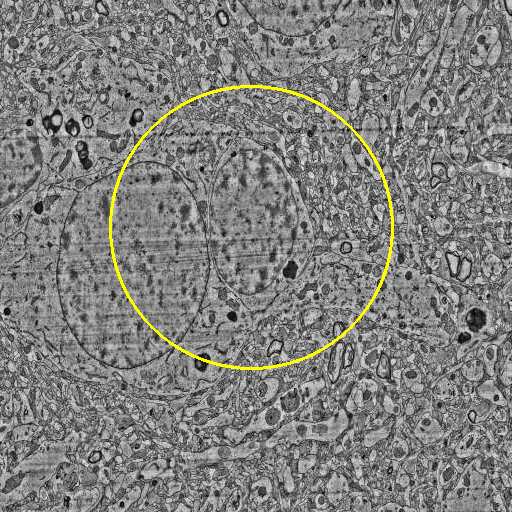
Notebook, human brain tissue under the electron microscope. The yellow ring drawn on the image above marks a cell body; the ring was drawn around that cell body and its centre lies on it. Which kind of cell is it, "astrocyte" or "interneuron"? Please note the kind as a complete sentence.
The marked cell body is that of an interneuron.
